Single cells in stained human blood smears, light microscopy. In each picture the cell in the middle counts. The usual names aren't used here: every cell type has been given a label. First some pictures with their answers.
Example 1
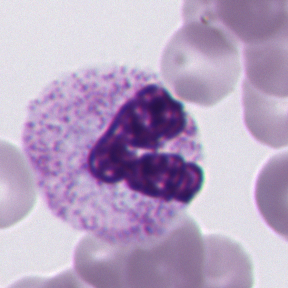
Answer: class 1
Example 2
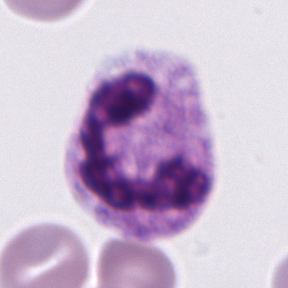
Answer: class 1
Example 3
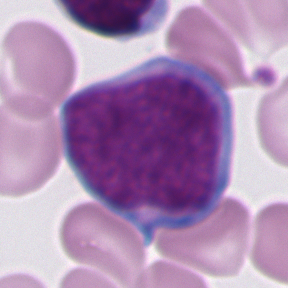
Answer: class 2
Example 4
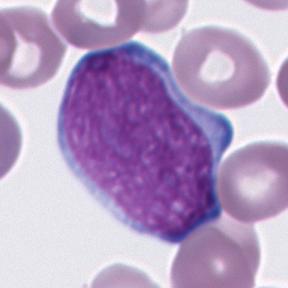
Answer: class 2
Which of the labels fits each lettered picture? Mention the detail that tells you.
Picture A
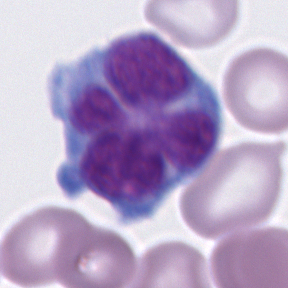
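class 2. Reason: The cytoplasm forms a narrow rim that is widest on the left side of the cell.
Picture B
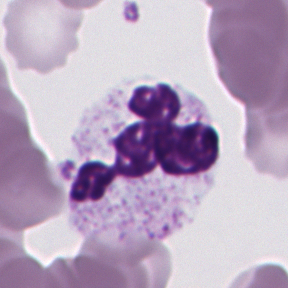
class 1. Reason: The nucleus is split into four lobes.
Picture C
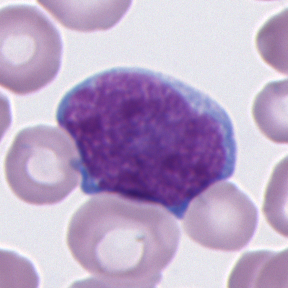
class 2. Reason: The cytoplasm is blue, deepest blue along the edges that touch red cells.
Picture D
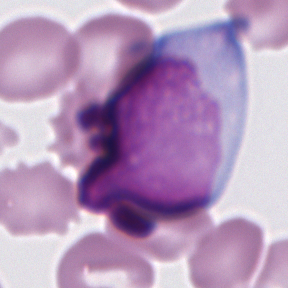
class 2. Reason: The nucleus fills most of the cell.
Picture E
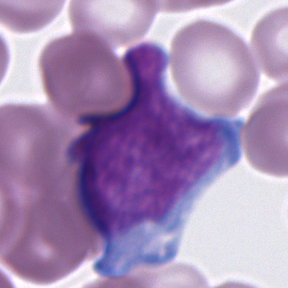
class 2. Reason: The cytoplasm is blue.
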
